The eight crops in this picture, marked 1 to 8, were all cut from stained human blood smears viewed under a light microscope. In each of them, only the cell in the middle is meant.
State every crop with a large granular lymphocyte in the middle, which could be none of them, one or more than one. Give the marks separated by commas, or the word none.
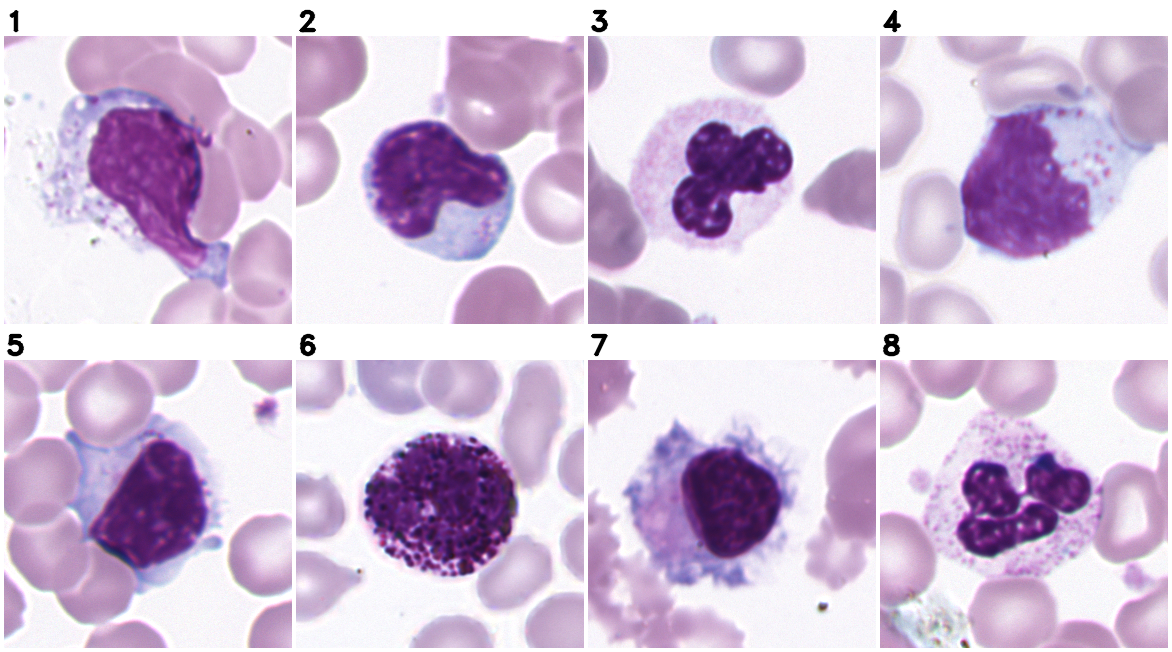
1, 2, 4, 5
